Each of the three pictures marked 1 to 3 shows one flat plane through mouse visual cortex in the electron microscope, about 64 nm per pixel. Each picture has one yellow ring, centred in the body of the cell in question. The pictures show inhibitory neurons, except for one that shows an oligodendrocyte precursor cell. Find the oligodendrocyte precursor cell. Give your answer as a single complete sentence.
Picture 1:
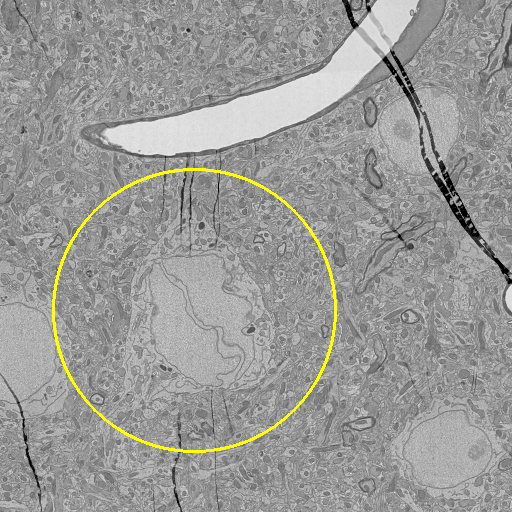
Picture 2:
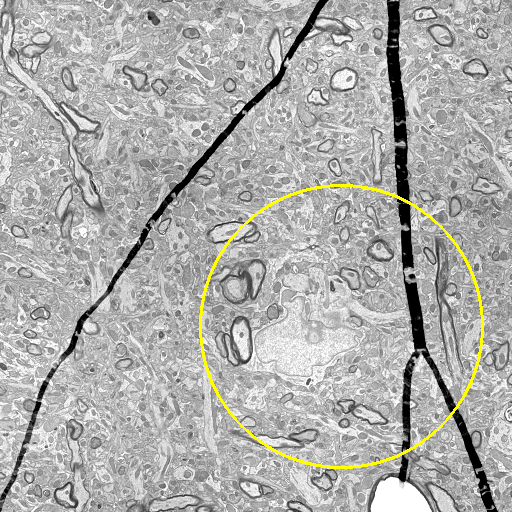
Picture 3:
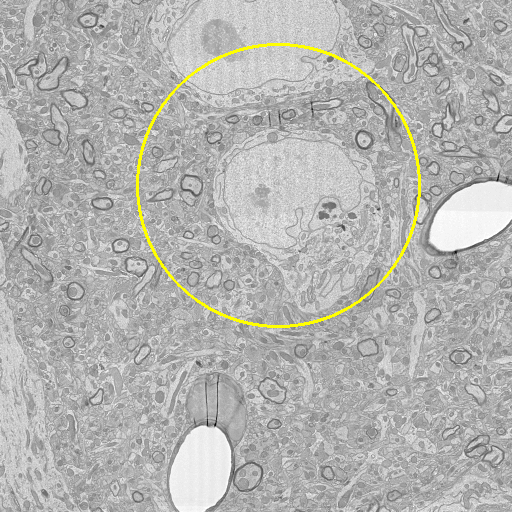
The oligodendrocyte precursor cell is the one in picture 2.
